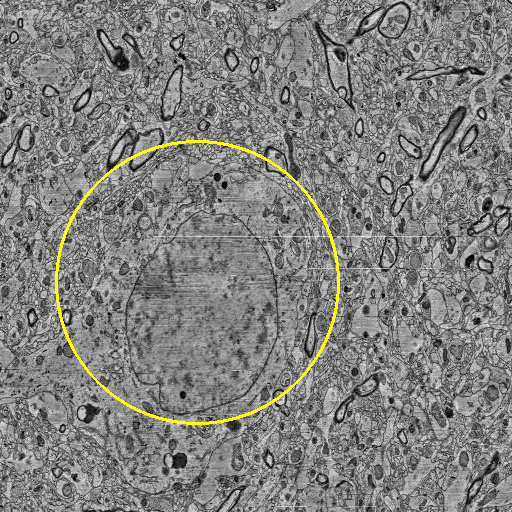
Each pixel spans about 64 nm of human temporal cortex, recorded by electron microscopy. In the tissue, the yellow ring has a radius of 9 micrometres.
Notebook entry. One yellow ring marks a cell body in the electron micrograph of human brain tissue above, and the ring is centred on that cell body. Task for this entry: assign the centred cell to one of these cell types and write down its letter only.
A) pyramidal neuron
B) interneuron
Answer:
A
